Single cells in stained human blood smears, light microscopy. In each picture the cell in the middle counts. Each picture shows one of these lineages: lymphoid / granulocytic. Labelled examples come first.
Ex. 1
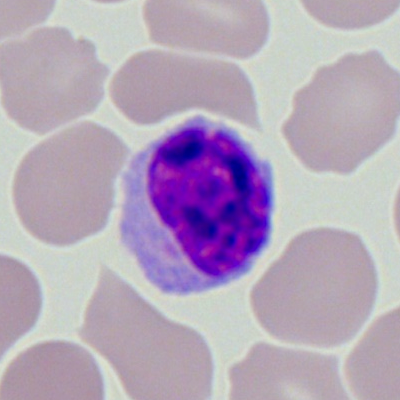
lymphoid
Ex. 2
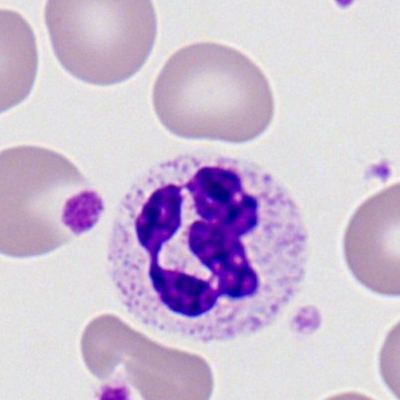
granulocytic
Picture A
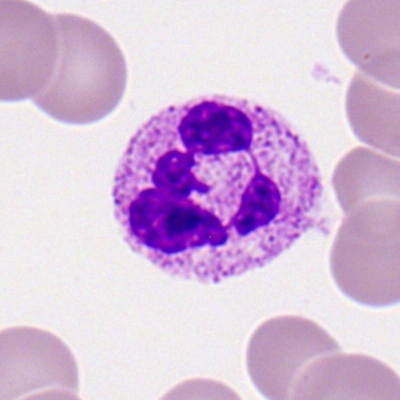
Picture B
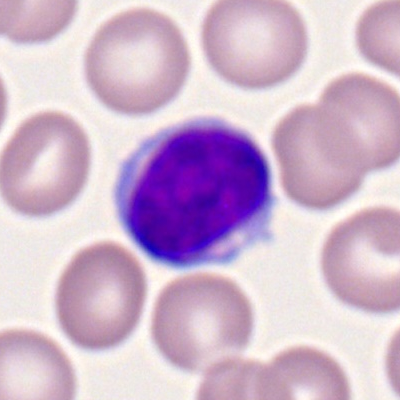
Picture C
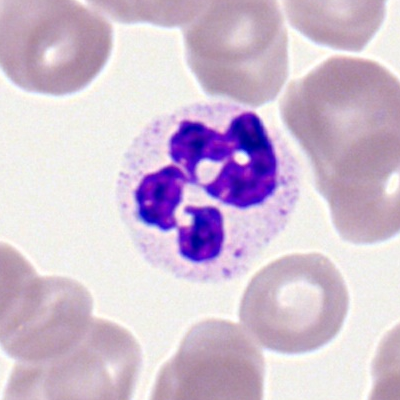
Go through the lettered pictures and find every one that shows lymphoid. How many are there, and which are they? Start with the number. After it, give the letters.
1: B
